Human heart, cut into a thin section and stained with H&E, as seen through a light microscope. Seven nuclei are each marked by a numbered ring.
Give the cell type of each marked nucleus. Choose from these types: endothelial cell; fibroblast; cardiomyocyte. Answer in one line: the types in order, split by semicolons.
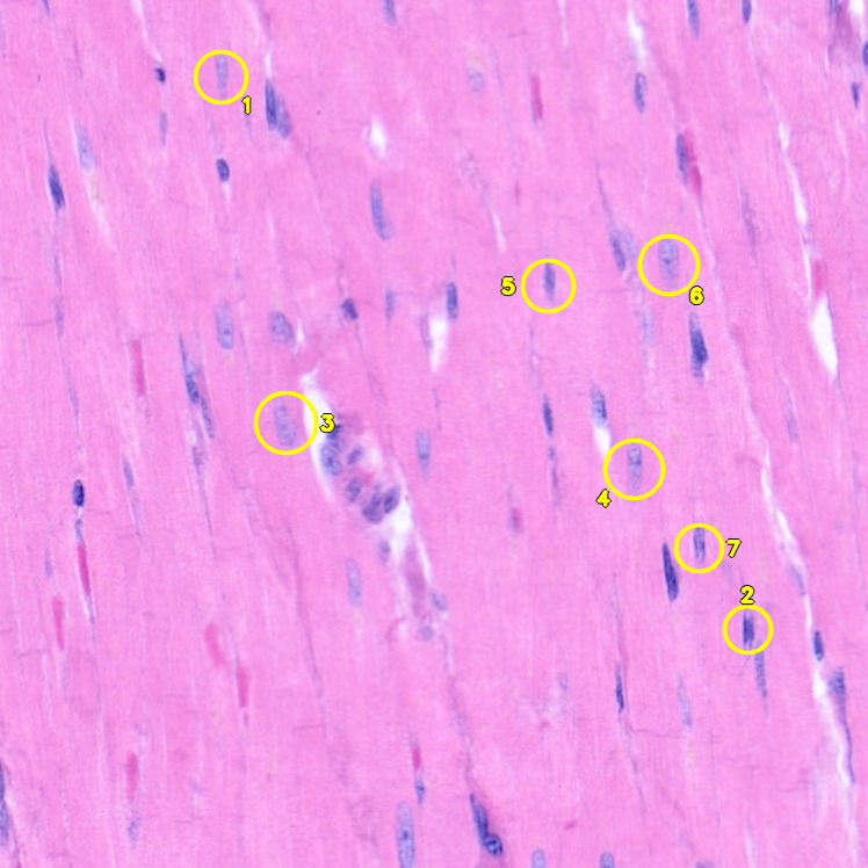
cardiomyocyte; endothelial cell; cardiomyocyte; cardiomyocyte; endothelial cell; cardiomyocyte; endothelial cell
